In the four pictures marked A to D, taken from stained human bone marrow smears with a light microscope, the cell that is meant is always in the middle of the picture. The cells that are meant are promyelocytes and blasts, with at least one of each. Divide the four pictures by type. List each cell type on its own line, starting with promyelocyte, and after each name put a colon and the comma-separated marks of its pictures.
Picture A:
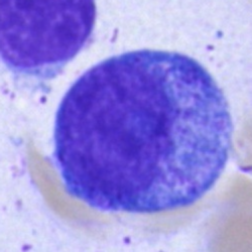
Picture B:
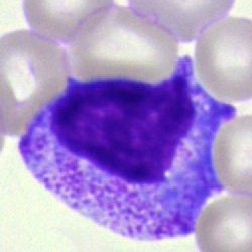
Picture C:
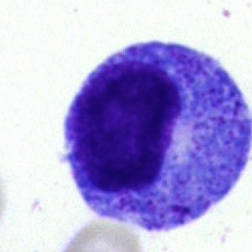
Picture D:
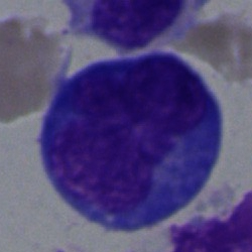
promyelocyte: A, B, C
blast: D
